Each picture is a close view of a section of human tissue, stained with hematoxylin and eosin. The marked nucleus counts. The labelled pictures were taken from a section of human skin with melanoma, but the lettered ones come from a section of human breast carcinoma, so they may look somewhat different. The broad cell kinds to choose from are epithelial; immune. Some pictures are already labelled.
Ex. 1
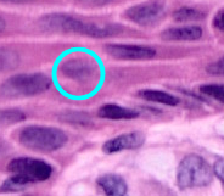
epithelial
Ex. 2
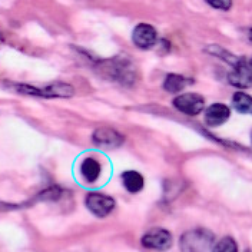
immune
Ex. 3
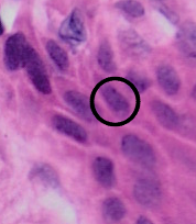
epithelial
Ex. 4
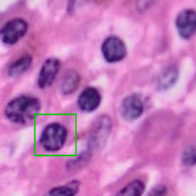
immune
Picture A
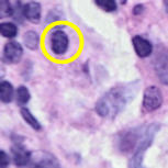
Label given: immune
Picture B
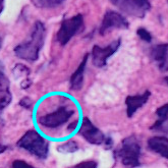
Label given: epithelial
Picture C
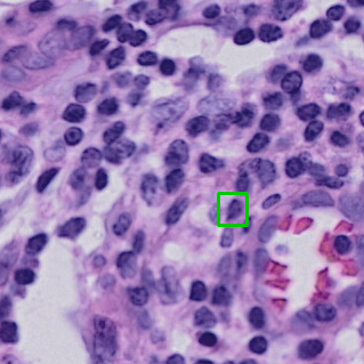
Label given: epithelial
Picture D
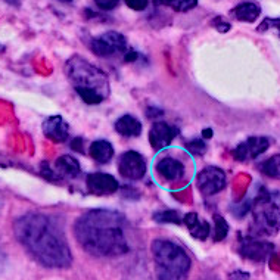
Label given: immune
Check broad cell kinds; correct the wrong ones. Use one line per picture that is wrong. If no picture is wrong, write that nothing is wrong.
C is labelled epithelial; correct label: immune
